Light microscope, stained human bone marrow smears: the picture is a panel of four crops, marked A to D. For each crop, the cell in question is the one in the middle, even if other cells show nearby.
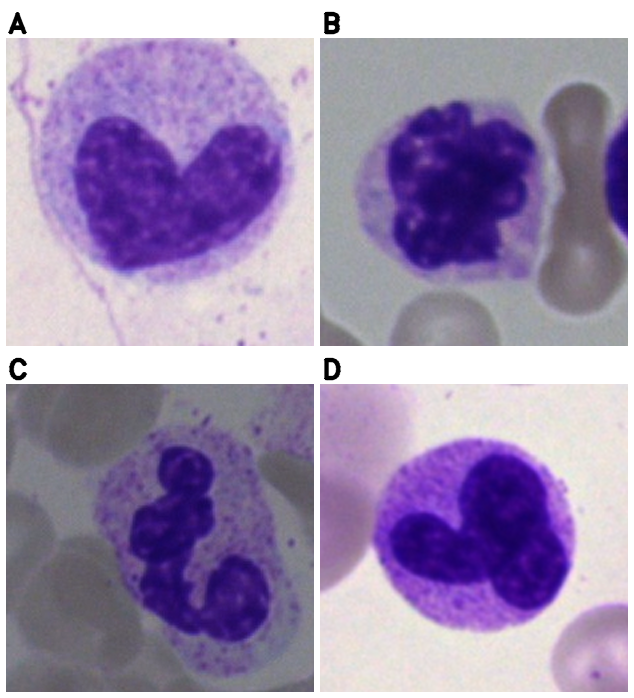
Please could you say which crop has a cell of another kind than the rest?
A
